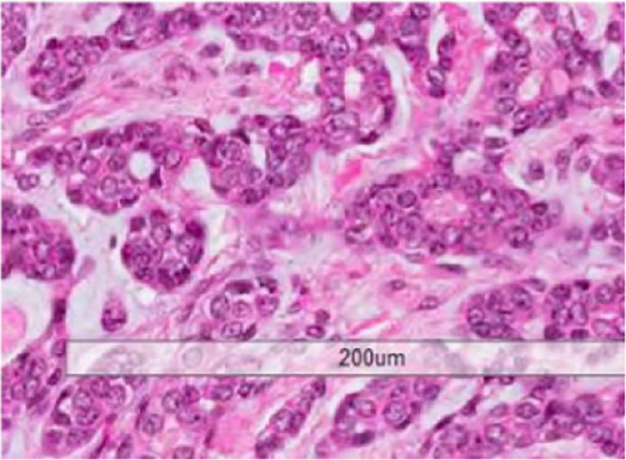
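This is a carcinoma made of comparatively uniform epithelial tumour cells arranged in rounded nests, cords and small sheets. The nests are separated by a pale, loose stroma with few cells. The nuclei are round to oval, vesicular, with fine chromatin and small nucleoli, and are similar to one another in size. The cytoplasm is scant to moderate and pink-purple.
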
